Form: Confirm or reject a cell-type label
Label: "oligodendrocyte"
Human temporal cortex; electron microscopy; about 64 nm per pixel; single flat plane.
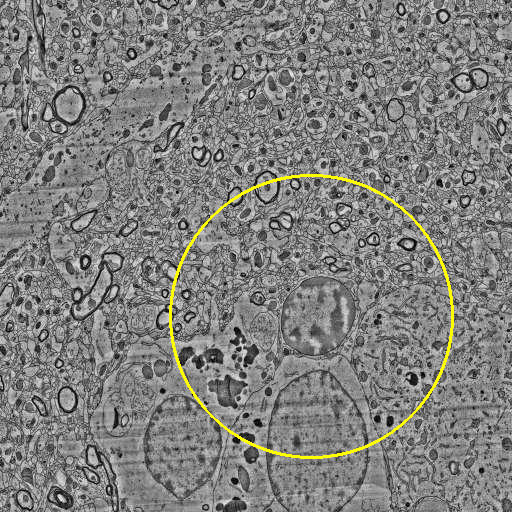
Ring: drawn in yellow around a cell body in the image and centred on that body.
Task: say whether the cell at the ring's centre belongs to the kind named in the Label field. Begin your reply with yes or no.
No, it belongs to another kind.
